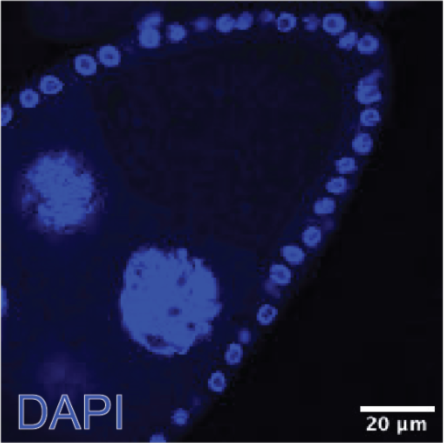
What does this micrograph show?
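A large, dark, nucleus-free area filling the upper right of the field is the oocyte, bounded by a curving row of small round blue nuclei spaced in a single layer. On the left stand two big nuclei with blotchy, uneven staining, much larger than those of the rim. The small rim nuclei look ring-like, brighter at their edges than in their centres.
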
